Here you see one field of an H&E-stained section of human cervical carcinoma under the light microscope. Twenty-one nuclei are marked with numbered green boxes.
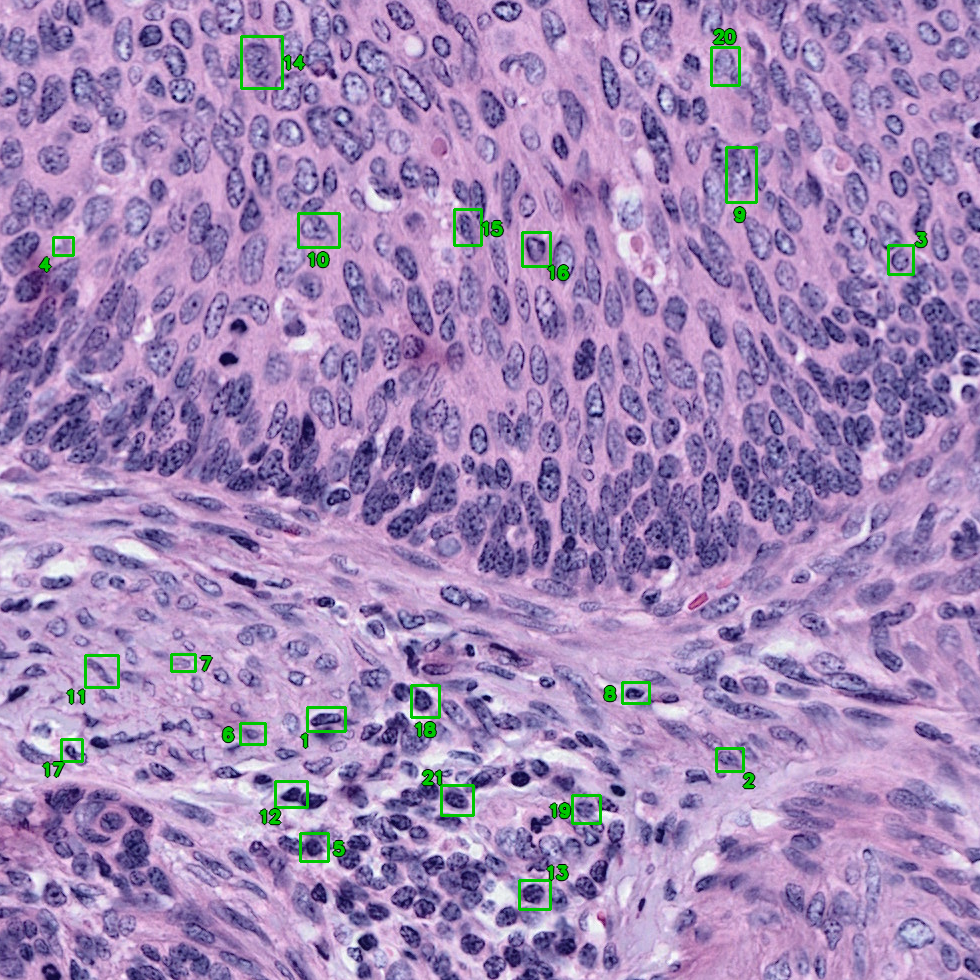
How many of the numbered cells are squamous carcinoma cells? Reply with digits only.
8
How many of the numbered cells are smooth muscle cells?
4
